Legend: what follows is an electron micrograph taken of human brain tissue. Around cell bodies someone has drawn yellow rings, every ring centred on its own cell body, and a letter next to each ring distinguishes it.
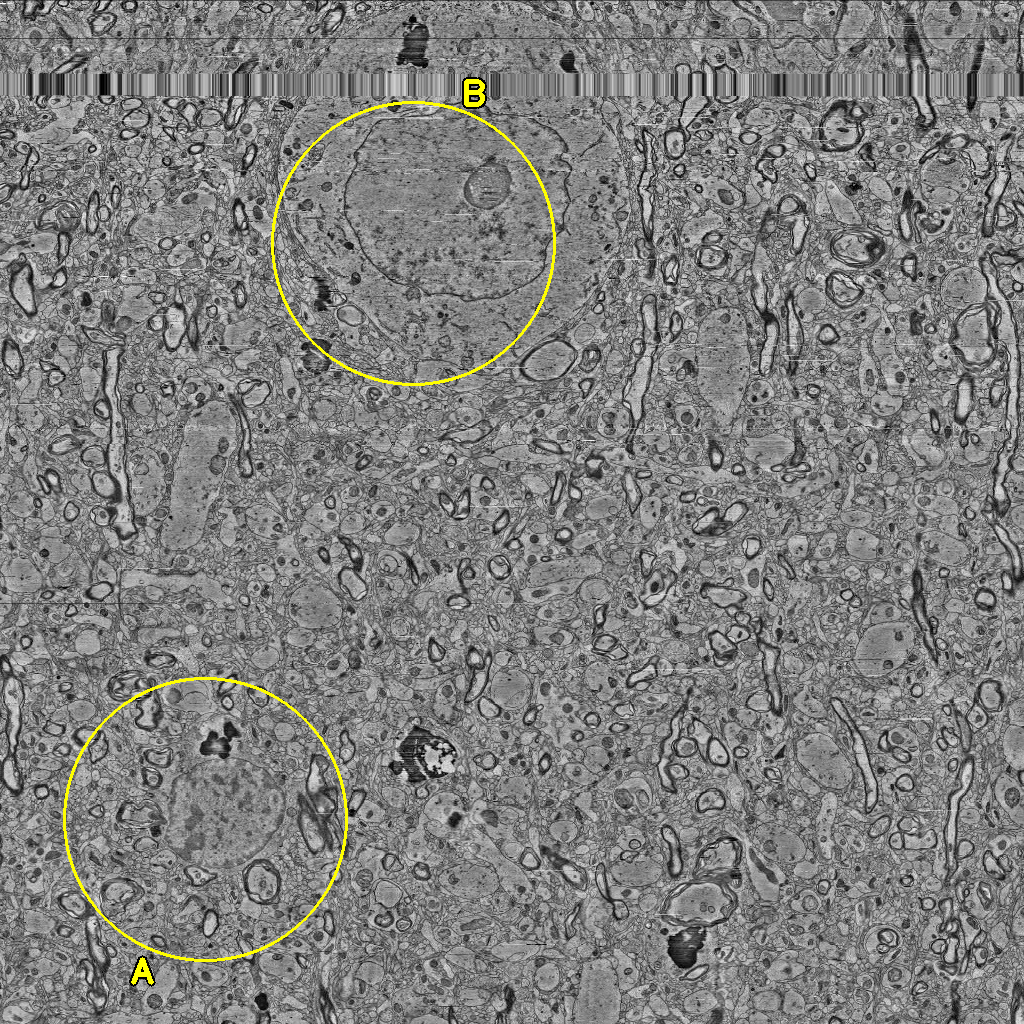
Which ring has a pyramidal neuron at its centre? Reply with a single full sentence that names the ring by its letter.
Ring B is the one centred on the cell asked for in the picture.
